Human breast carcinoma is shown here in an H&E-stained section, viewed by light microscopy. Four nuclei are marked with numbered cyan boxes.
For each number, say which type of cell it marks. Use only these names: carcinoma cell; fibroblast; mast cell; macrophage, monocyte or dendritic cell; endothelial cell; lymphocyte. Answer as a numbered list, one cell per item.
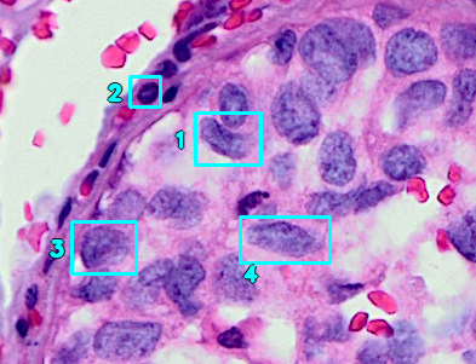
1. carcinoma cell
2. mast cell
3. carcinoma cell
4. carcinoma cell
